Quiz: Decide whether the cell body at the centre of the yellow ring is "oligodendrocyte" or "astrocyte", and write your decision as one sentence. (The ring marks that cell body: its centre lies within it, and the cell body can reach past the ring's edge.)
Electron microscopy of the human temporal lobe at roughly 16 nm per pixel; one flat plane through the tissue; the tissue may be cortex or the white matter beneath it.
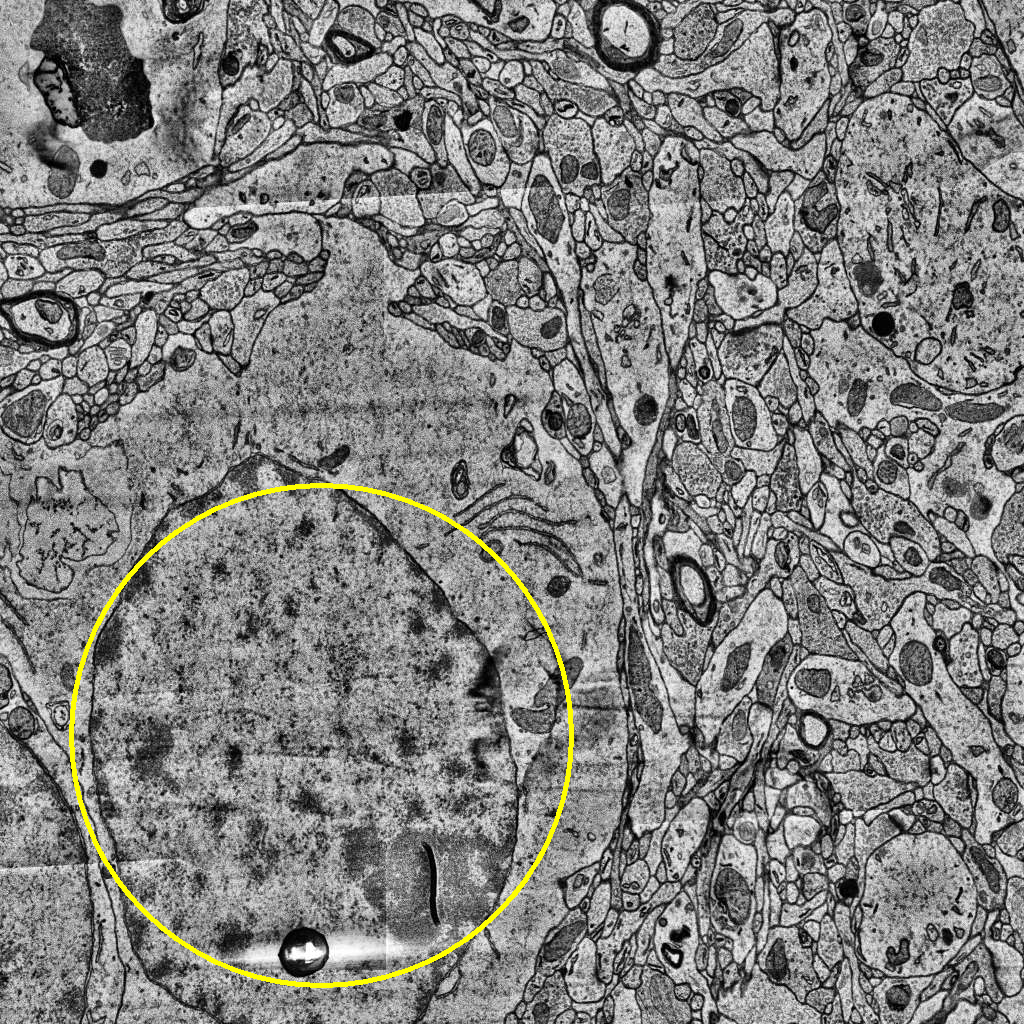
The cell holding the ring's centre is an astrocyte.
